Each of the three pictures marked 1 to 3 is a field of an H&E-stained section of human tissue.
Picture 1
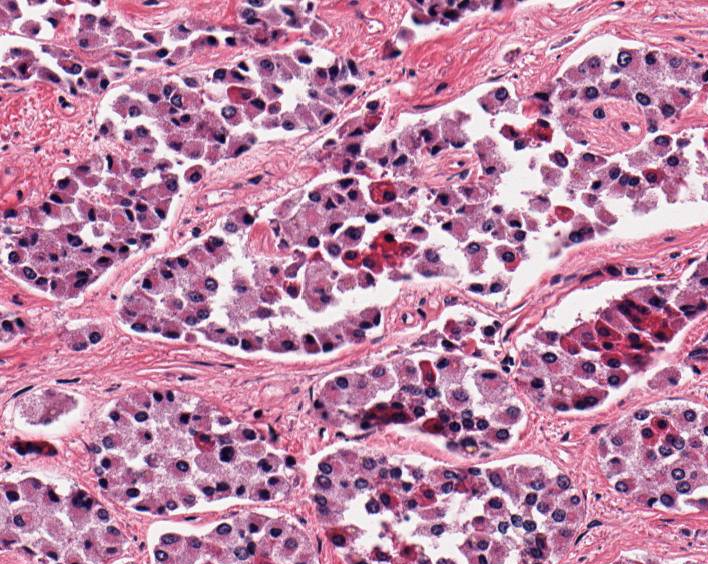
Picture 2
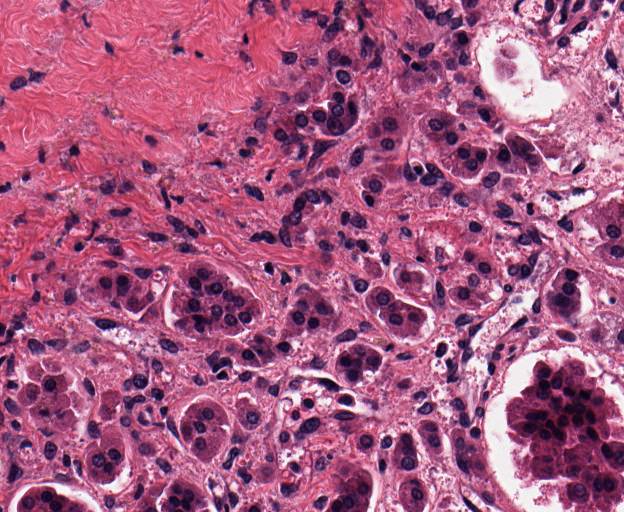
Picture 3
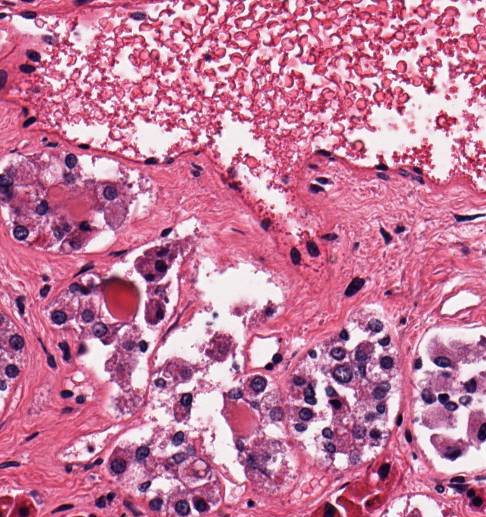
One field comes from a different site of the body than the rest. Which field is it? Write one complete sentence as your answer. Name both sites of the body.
Unlike the rest, which come from the pituitary, picture 2 comes from the adrenal gland.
